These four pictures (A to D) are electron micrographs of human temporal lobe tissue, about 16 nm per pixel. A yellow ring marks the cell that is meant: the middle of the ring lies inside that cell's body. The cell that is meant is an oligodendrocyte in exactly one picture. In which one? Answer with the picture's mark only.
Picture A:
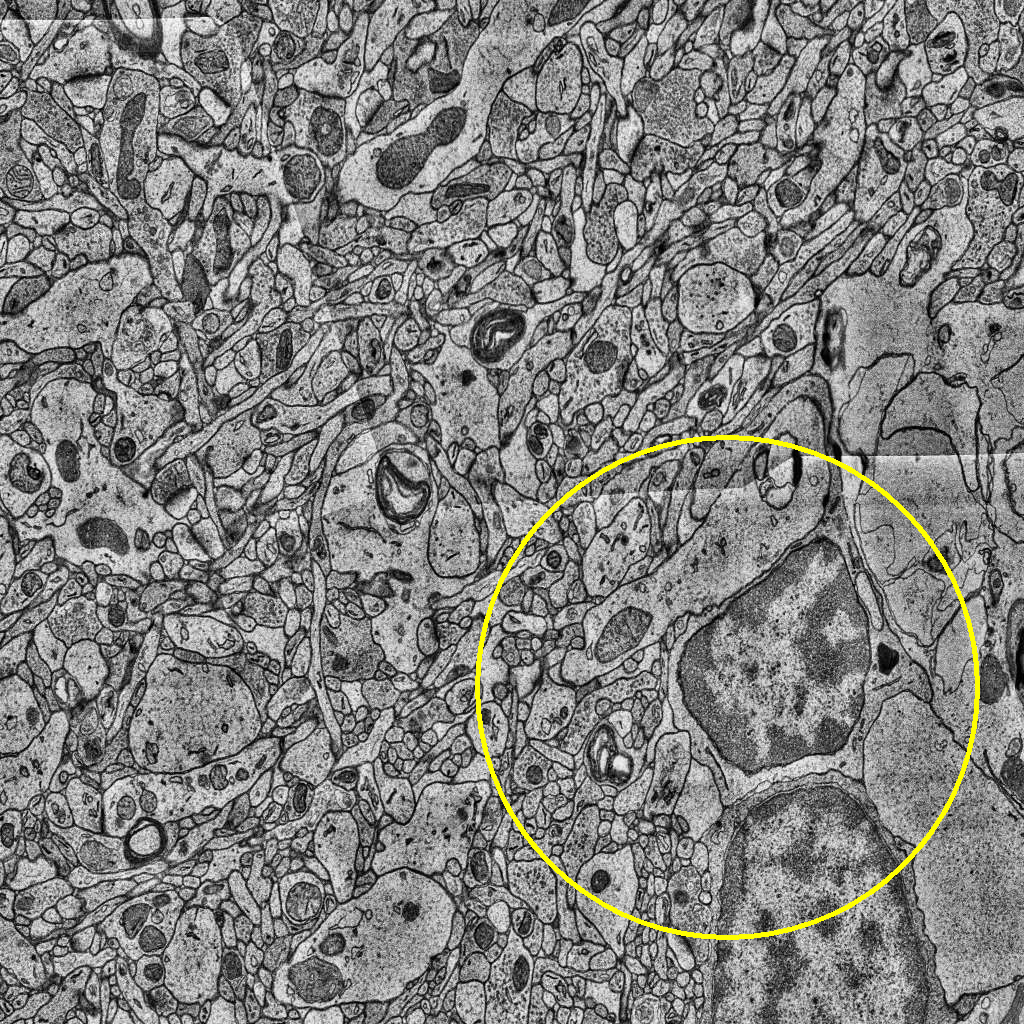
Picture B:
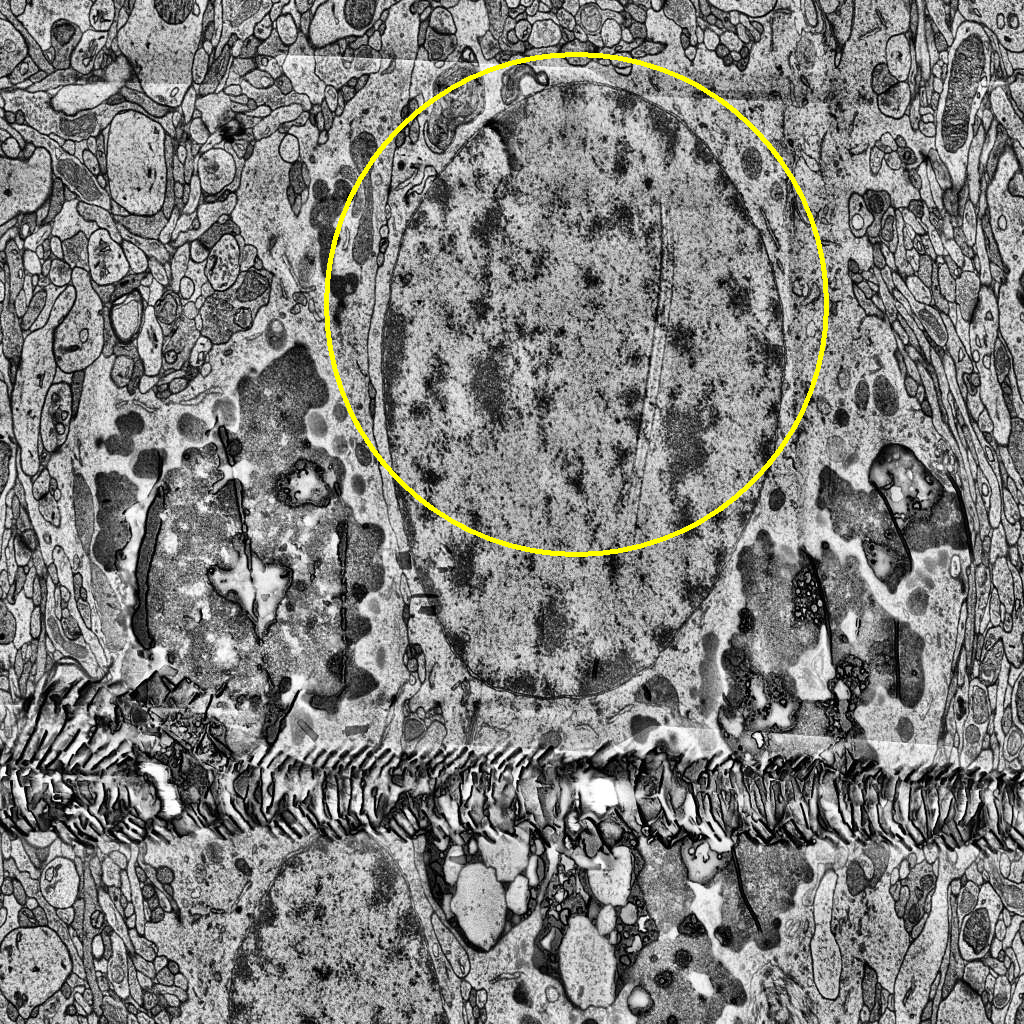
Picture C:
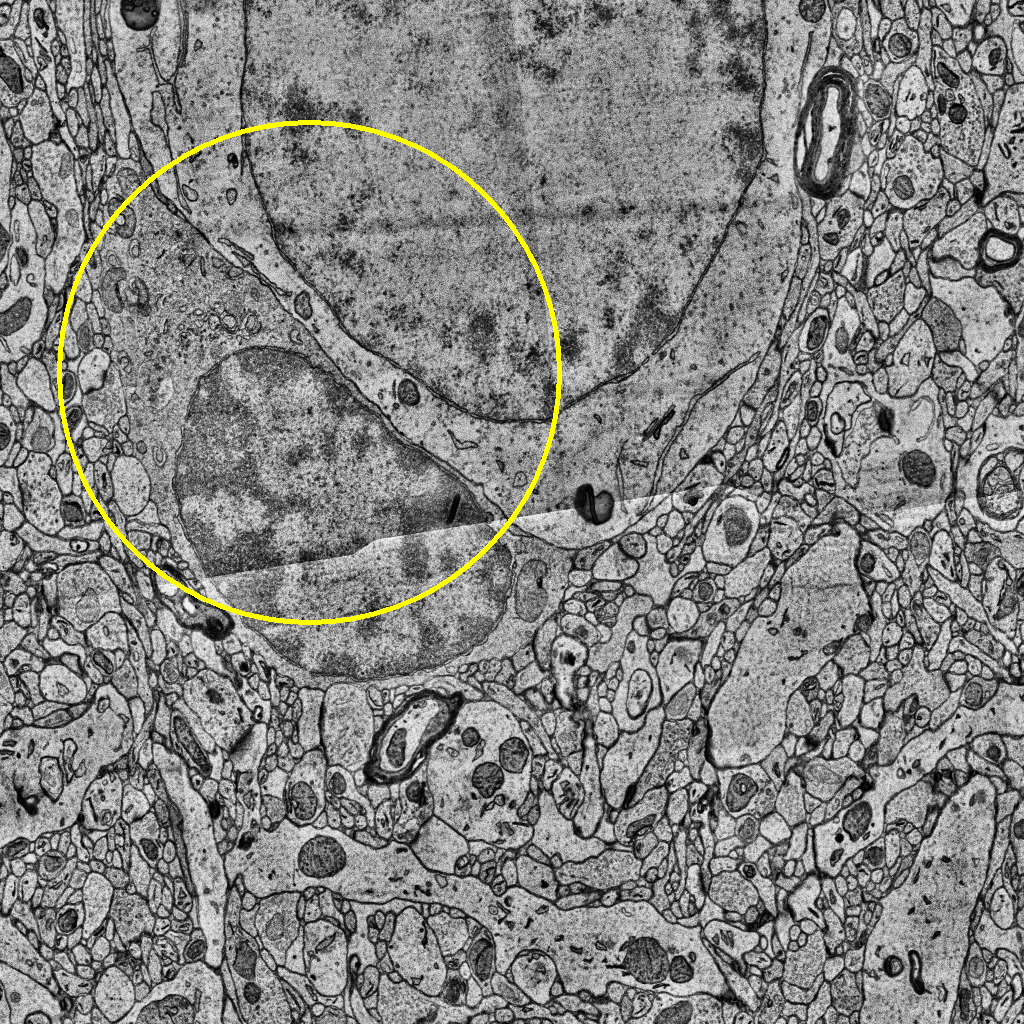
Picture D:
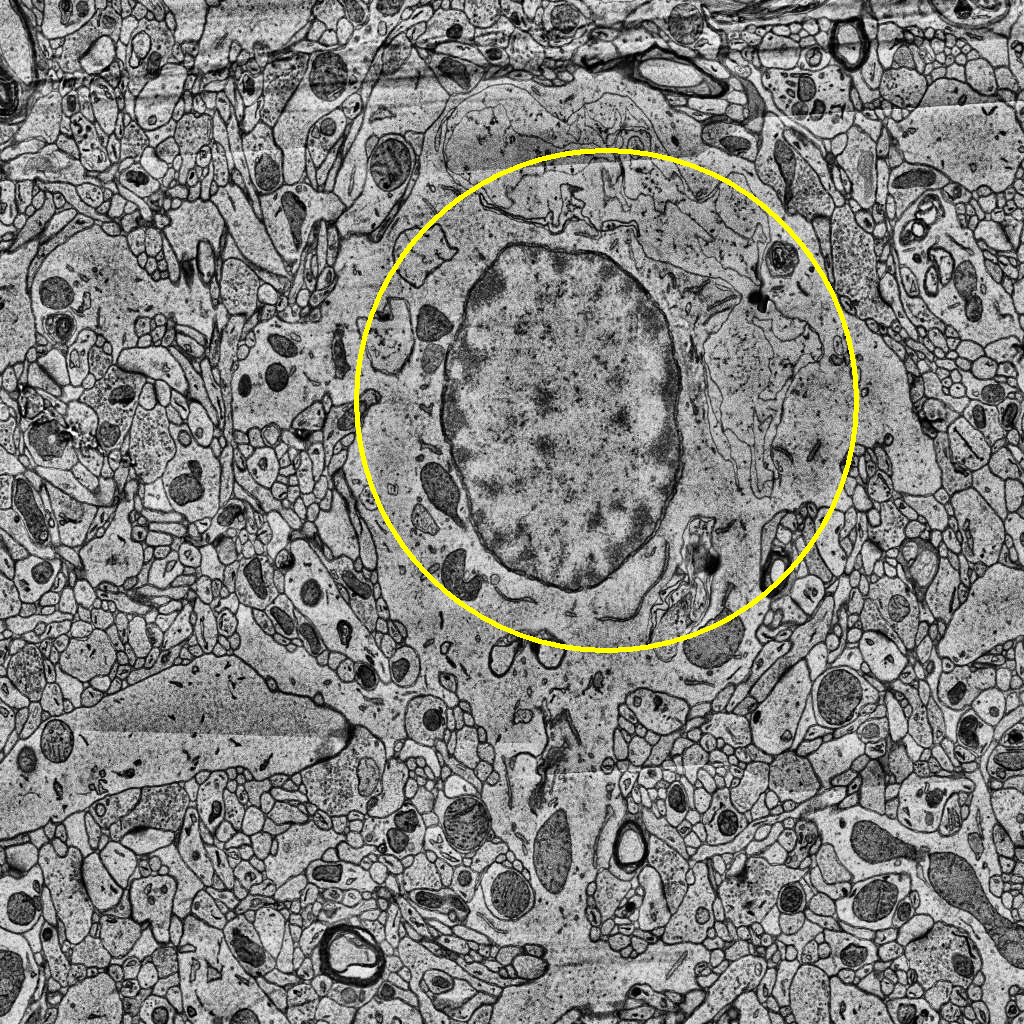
C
